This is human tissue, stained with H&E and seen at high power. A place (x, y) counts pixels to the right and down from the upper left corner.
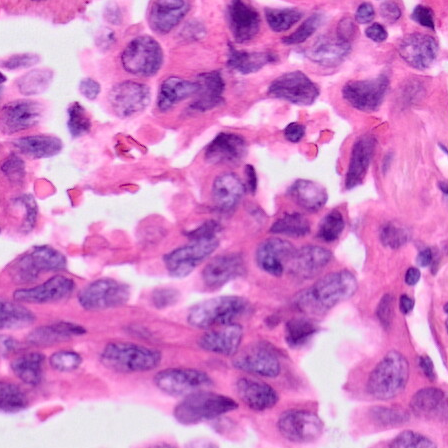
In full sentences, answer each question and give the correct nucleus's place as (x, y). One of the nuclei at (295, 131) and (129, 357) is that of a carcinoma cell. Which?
The nucleus at (129, 357) is part of a carcinoma cell, while the other is not.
